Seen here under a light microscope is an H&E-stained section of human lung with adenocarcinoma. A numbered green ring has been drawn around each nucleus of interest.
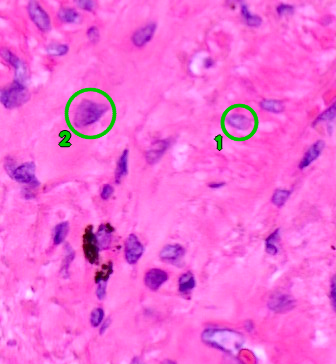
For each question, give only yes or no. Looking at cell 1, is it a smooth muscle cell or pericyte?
yes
